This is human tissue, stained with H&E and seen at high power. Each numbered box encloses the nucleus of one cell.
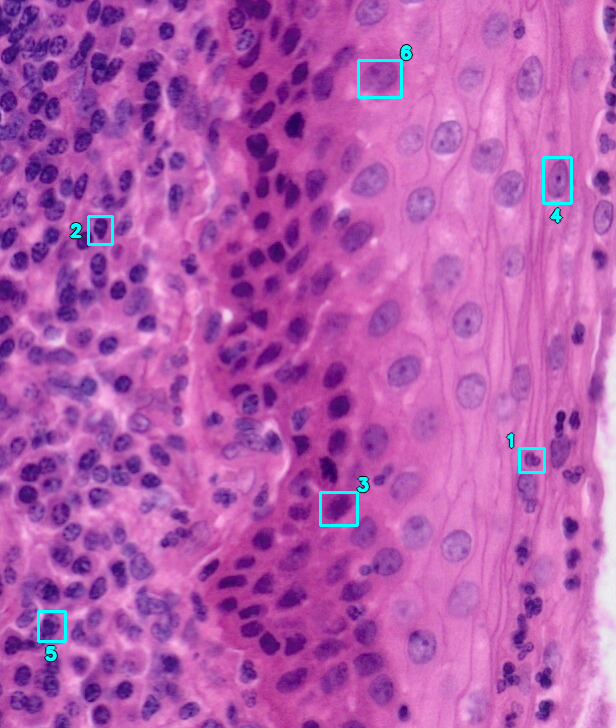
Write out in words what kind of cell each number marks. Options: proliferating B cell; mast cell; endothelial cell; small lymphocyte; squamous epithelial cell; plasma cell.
Cells 1, 3, 4 and 6 are squamous epithelial cells. Cells 2 and 5 are plasma cells.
